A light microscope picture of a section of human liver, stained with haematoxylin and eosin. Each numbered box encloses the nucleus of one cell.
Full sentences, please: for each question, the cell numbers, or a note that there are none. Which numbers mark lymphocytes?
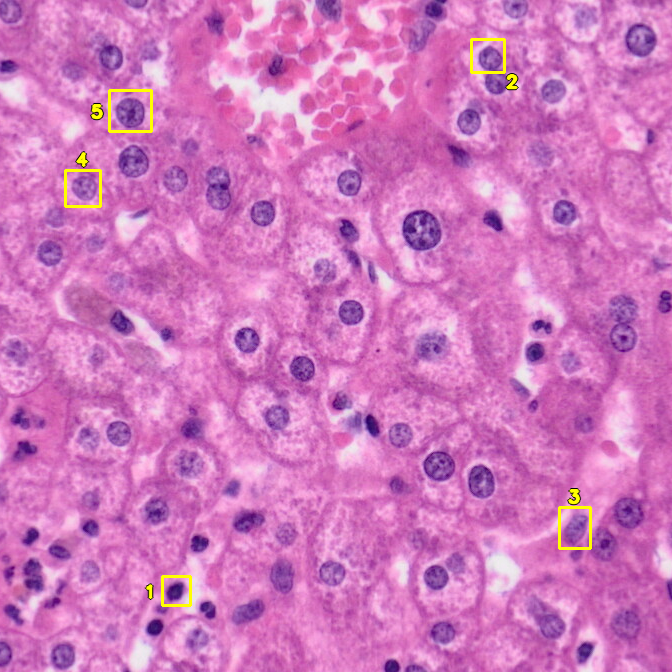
Cell 1 is a lymphocyte; the remaining numbered cells are not.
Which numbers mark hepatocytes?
The cells with the numbers 2, 4 and 5 are hepatocytes.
